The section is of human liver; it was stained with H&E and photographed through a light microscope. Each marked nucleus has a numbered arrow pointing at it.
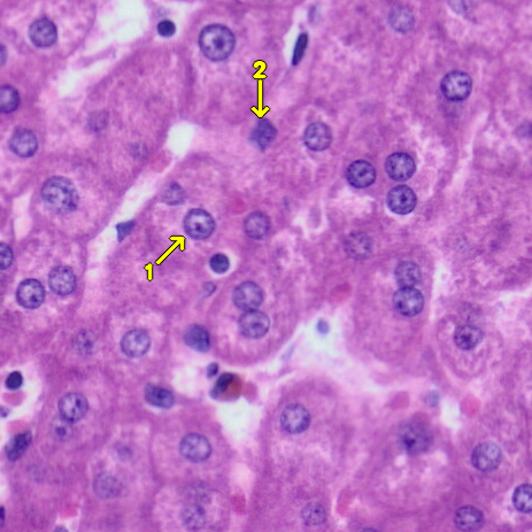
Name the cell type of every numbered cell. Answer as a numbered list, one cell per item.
1. hepatocyte
2. endothelial cell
